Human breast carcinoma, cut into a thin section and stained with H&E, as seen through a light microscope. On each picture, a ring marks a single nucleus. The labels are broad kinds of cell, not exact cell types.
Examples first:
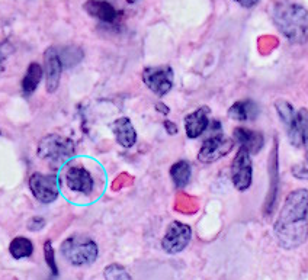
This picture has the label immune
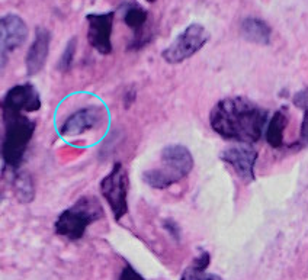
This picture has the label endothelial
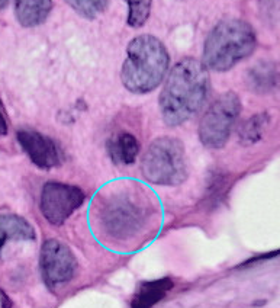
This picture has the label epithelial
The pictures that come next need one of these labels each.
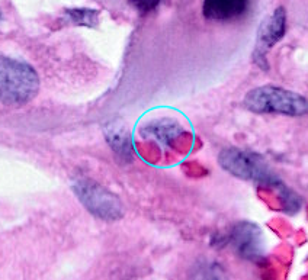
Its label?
endothelial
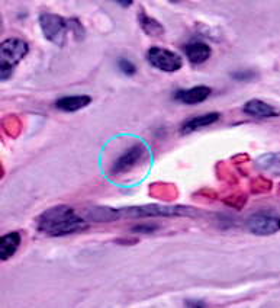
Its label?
endothelial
